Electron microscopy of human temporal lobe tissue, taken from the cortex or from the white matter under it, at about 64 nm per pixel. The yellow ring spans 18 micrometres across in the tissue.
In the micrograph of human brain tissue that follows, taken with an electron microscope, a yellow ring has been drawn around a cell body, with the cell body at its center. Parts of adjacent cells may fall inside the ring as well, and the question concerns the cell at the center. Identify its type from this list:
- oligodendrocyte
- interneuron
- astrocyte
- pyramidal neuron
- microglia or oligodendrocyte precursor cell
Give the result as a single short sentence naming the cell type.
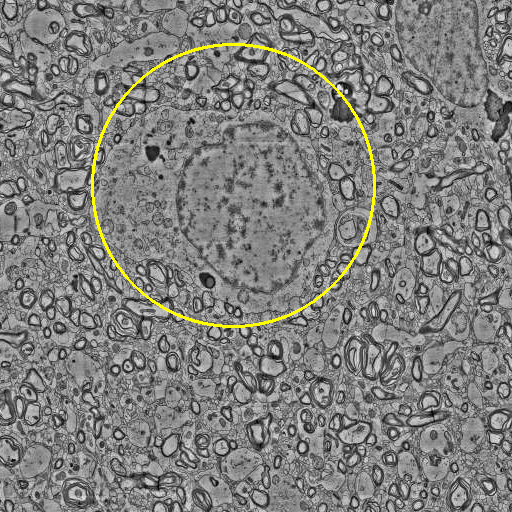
The ring is centered on an interneuron.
